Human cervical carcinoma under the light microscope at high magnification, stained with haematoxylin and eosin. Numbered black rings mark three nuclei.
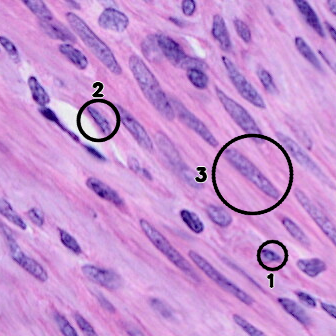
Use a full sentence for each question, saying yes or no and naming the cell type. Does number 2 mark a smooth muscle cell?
No, number 2 identifies an endothelial cell, not a smooth muscle cell.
